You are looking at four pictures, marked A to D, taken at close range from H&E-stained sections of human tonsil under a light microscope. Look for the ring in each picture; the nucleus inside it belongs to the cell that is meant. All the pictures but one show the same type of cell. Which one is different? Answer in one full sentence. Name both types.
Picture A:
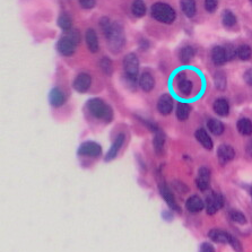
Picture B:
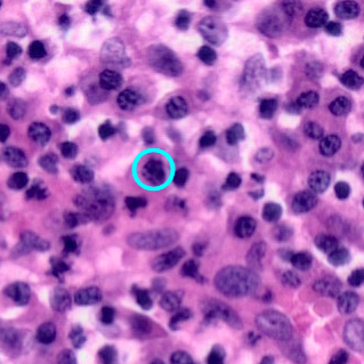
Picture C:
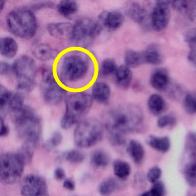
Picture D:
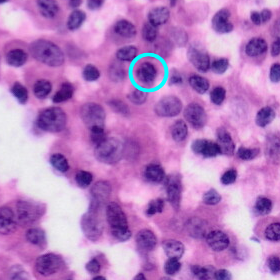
The others show plasma cells, but picture C shows a proliferating B cell.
